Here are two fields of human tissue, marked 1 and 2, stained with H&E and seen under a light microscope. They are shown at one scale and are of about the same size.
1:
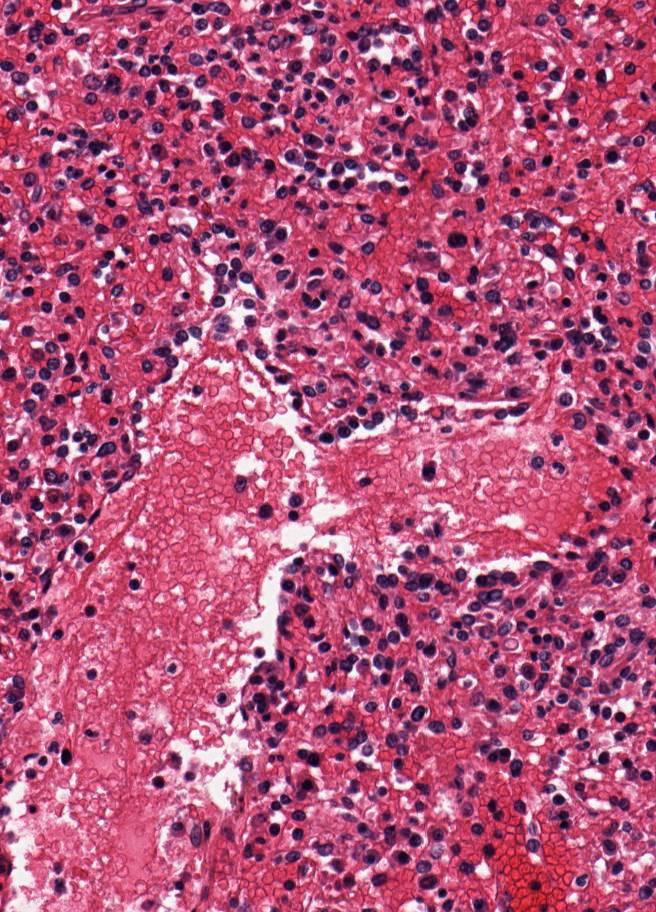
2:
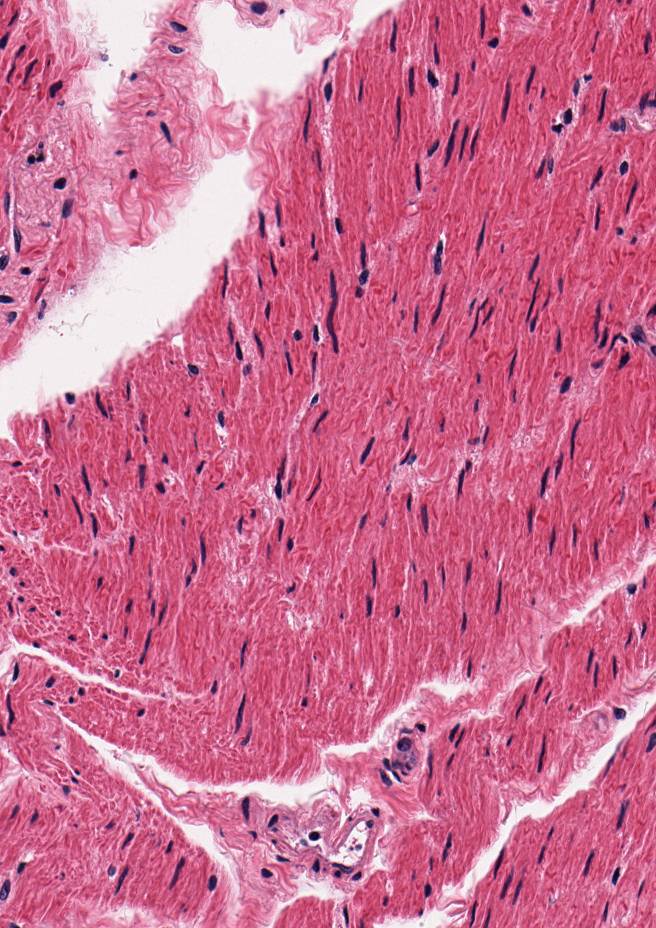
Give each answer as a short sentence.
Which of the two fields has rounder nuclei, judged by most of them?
The nuclei are rounder in field 1.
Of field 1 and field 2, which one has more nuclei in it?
The larger number of nuclei is in field 1.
